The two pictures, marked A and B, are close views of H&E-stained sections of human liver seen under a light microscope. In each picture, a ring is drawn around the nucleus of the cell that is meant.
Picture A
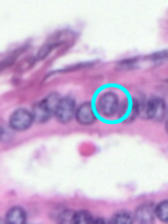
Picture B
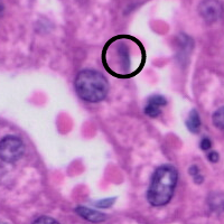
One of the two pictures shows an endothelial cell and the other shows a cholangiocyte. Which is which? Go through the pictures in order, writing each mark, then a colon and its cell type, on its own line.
A: cholangiocyte
B: endothelial cell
